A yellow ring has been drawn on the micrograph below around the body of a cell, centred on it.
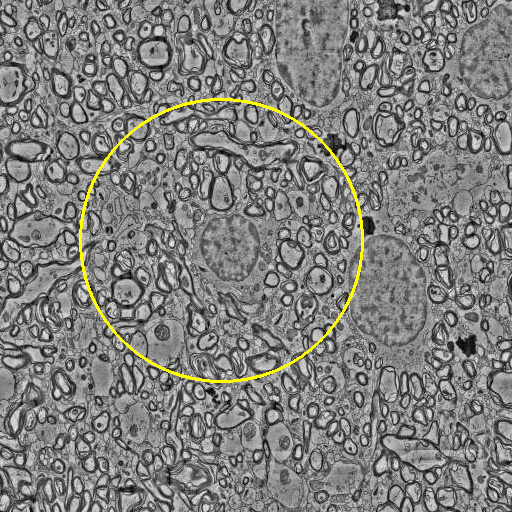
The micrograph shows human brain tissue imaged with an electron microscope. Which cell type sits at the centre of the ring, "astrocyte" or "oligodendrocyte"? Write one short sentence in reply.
The cell sitting at the centre of the ring is an oligodendrocyte.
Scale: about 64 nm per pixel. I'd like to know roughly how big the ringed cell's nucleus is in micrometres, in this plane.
Roughly 5 micrometres by 4 micrometres, in this plane.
